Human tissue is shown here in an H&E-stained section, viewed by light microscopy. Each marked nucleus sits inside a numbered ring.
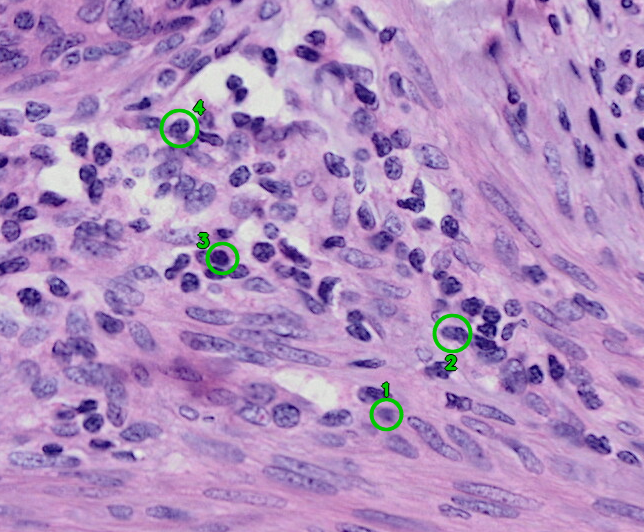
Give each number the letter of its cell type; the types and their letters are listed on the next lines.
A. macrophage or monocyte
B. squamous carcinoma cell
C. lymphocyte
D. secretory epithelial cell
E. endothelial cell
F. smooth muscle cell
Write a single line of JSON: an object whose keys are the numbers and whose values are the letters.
{"1": "F", "2": "C", "3": "C", "4": "C"}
